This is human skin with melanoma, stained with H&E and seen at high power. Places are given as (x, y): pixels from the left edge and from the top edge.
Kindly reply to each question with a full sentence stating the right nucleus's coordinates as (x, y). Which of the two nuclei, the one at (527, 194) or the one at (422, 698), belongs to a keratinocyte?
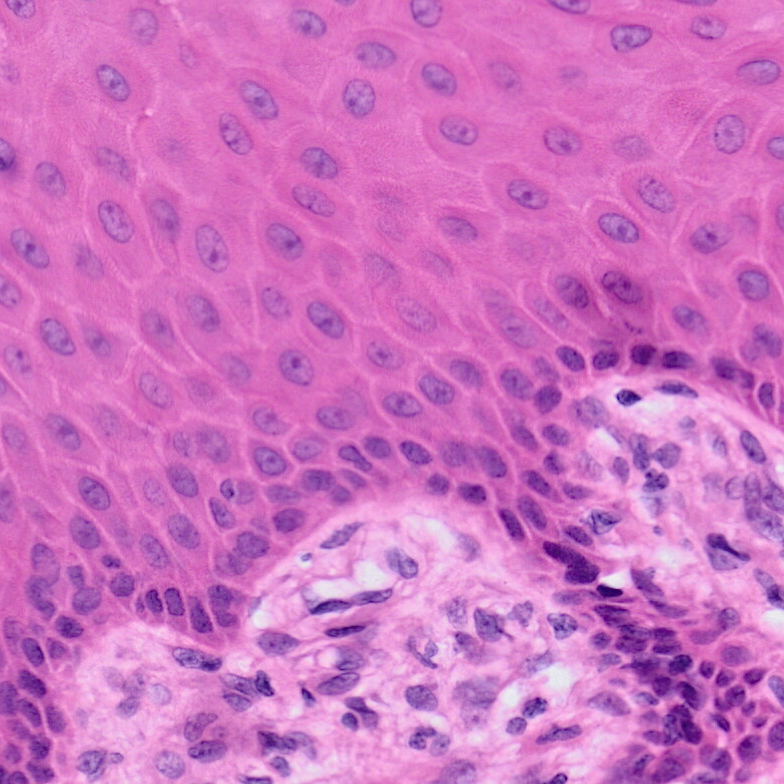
The nucleus at (527, 194) is the member of the pair belonging to a keratinocyte.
